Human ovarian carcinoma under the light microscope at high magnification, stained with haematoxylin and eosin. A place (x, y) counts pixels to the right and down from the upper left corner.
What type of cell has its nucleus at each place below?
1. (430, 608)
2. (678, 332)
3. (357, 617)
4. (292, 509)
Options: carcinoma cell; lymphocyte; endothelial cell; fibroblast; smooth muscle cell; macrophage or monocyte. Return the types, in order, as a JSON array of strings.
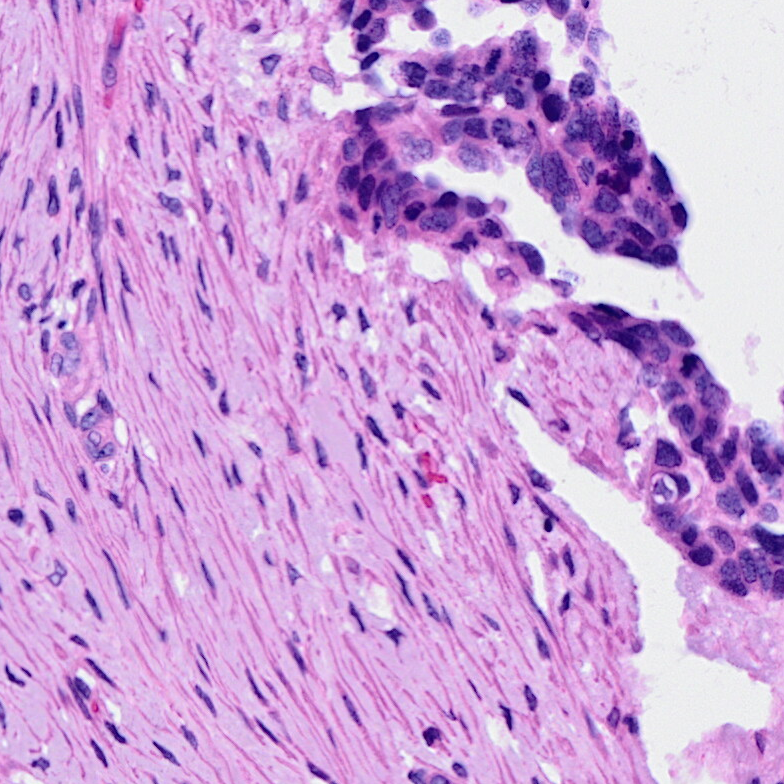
["fibroblast", "carcinoma cell", "fibroblast", "fibroblast"]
